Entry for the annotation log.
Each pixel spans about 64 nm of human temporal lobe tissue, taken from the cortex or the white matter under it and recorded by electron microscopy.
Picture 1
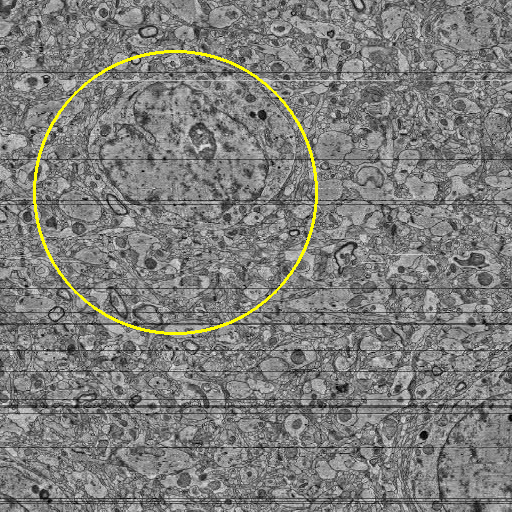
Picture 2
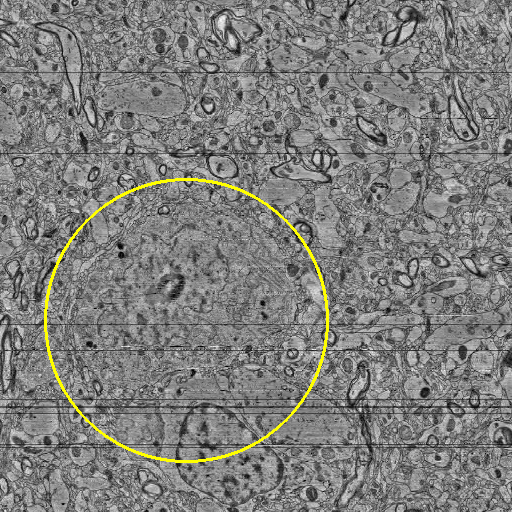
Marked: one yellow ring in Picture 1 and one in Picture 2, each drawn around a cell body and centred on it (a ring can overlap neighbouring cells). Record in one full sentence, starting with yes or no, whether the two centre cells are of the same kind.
Yes, both cells are of the same kind.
